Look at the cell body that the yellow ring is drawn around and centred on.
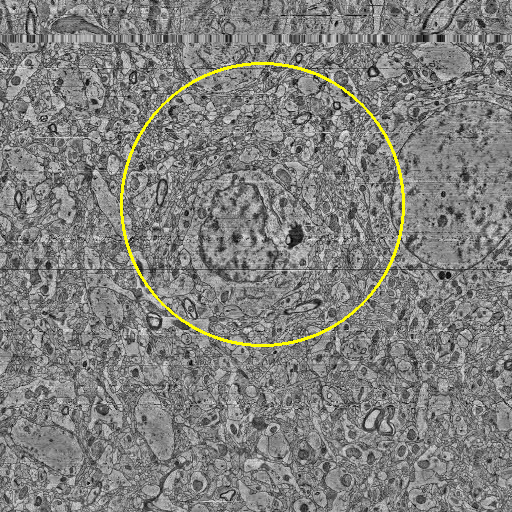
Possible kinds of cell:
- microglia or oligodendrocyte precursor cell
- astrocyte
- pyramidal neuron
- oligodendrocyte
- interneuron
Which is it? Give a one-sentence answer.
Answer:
The centred cell body is that of an interneuron.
